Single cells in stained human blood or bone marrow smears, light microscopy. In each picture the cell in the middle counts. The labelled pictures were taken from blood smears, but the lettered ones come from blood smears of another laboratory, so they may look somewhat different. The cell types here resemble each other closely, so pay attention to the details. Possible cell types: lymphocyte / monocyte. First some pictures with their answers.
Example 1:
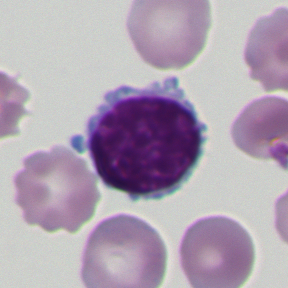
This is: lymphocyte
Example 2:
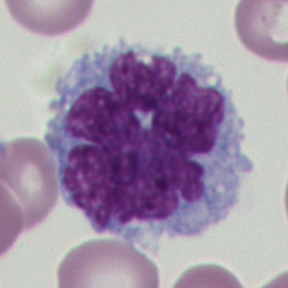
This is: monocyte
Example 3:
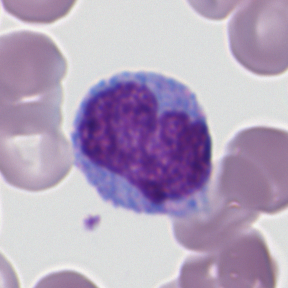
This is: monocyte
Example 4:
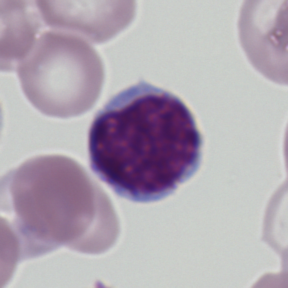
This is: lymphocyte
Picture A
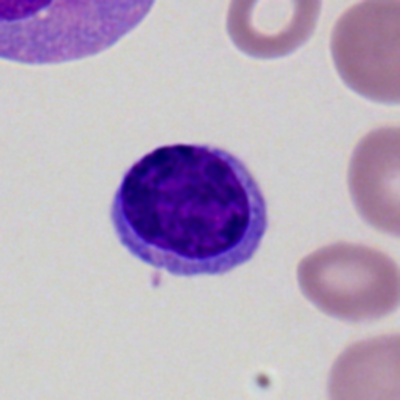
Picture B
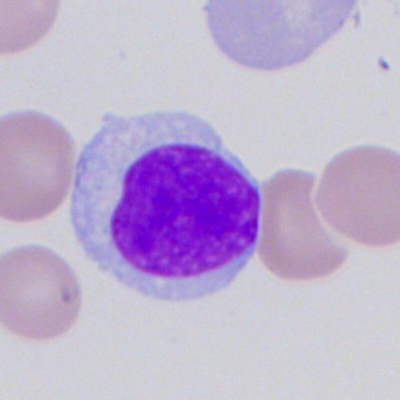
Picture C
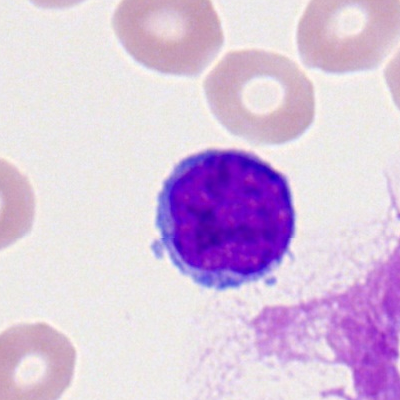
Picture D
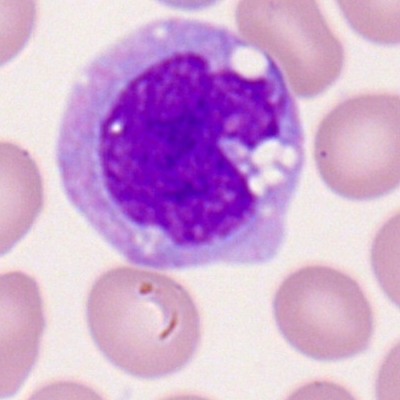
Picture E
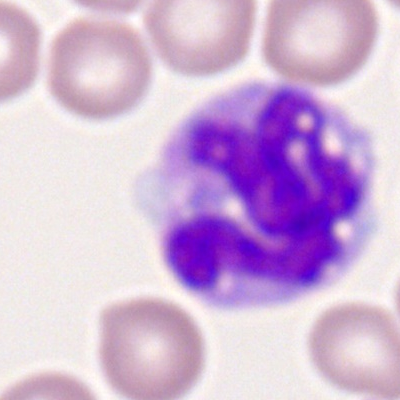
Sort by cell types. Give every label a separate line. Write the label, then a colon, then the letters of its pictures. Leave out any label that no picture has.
lymphocyte: A, B, C
monocyte: D, E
